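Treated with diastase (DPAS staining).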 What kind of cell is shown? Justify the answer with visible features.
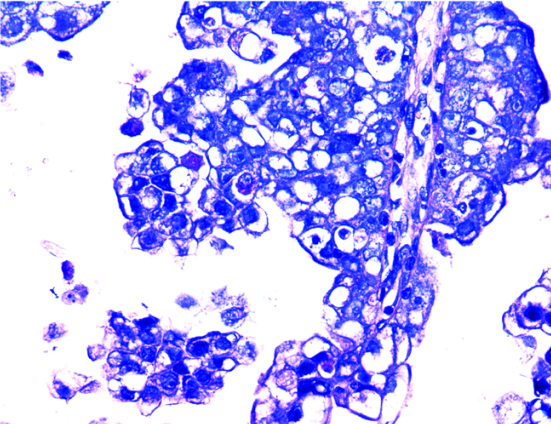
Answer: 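Clear cells. Sheets of epithelial cells with clear, vacuolated cytoplasm. Atypical enlarged nuclei.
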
